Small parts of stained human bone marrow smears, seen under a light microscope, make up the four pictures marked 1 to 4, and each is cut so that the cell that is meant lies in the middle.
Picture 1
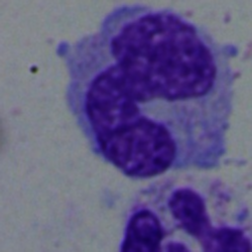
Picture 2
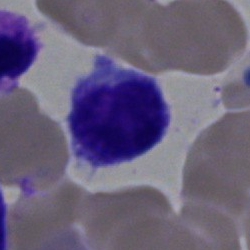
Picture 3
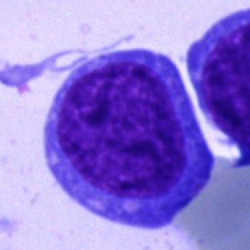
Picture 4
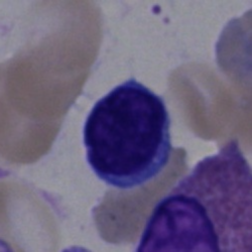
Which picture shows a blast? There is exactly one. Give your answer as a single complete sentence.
Picture 3 is the one that shows the blast.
